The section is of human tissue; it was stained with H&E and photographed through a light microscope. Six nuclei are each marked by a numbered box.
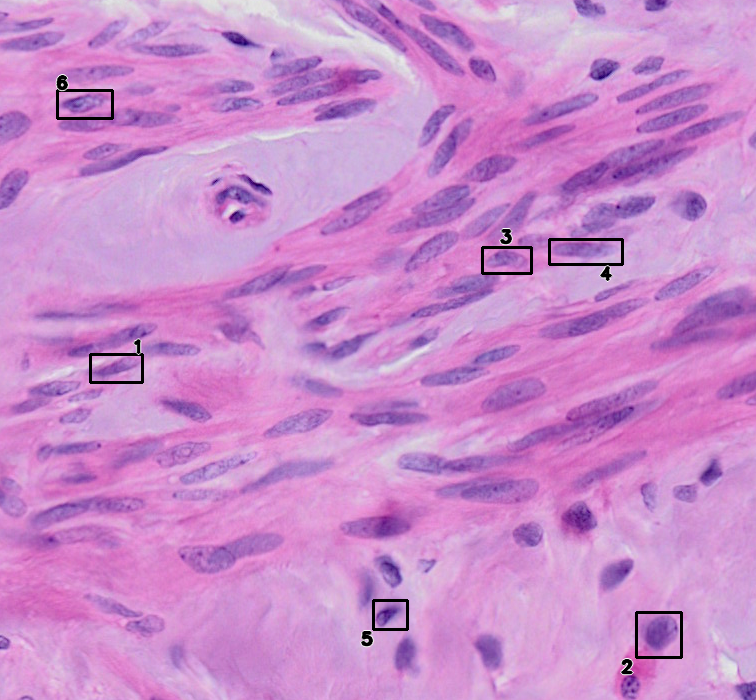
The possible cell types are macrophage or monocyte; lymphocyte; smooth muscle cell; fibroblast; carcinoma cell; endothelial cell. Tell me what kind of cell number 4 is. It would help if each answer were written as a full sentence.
Classified as a smooth muscle cell is the cell with the number 4.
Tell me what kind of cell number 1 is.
The nucleus marked 1 is the nucleus of a smooth muscle cell.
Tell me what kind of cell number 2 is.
The cell that carries the label 2 is a fibroblast.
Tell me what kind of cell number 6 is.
In this section, the cell numbered 6 is a smooth muscle cell.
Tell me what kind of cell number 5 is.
The numbered cell 5 is identified here as a fibroblast.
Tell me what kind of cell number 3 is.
Within this field of view, the cell labelled 3 is a smooth muscle cell.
